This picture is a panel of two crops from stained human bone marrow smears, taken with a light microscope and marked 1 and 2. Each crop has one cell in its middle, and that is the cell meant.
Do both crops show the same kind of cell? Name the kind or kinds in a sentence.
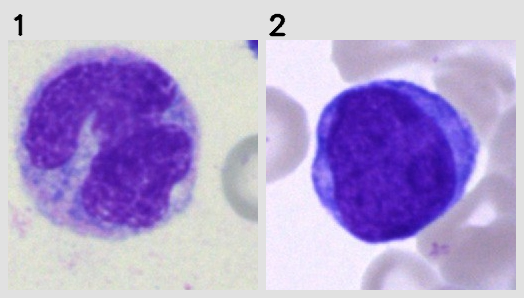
No, crop 1 features a monocyte, and crop 2 features a blast.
